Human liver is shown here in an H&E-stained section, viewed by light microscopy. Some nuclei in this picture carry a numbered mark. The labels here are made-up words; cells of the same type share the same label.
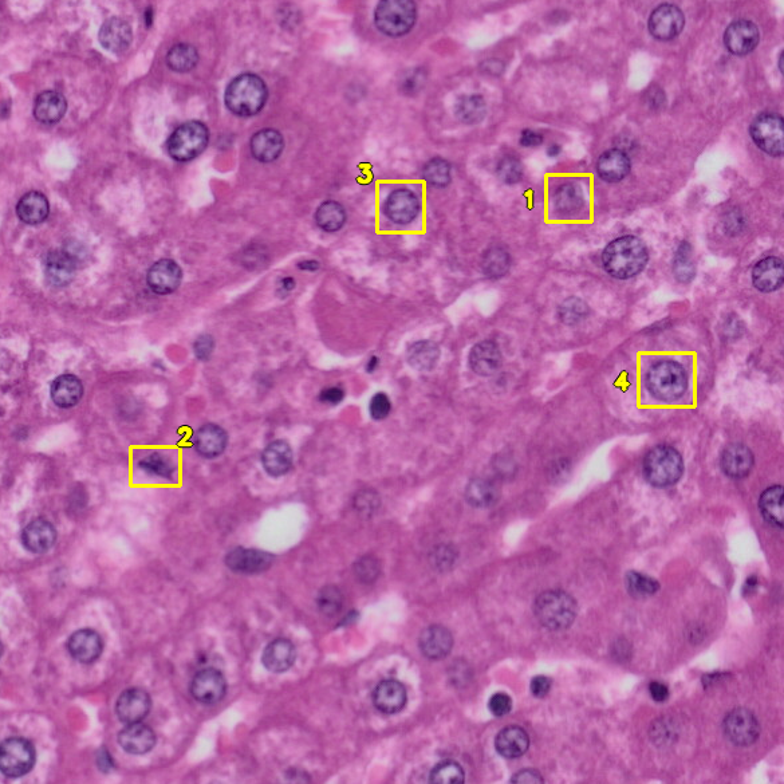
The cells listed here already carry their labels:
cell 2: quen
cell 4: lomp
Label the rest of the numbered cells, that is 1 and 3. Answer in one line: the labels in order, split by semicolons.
lomp; lomp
